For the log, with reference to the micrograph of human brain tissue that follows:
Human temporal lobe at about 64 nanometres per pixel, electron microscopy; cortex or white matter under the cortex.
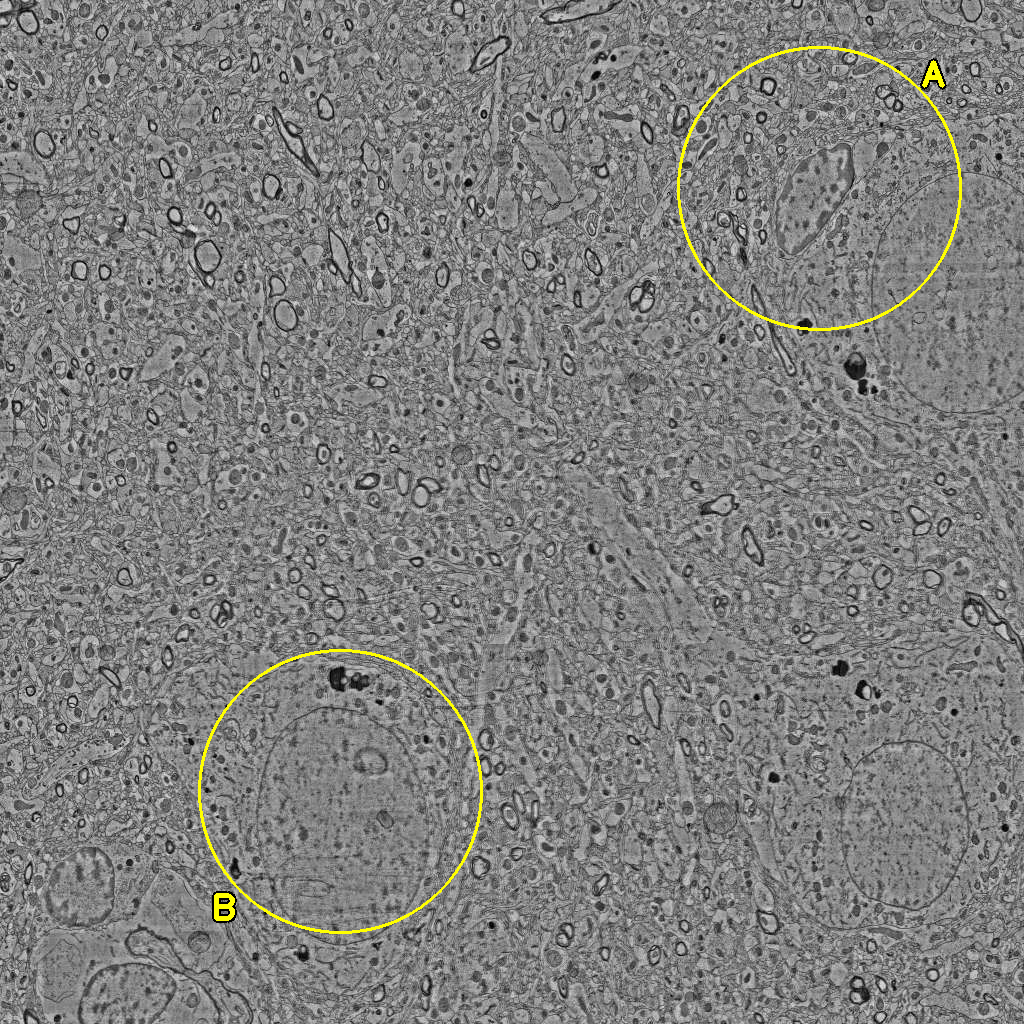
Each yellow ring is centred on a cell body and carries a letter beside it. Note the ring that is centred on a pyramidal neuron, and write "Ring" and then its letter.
Ring B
